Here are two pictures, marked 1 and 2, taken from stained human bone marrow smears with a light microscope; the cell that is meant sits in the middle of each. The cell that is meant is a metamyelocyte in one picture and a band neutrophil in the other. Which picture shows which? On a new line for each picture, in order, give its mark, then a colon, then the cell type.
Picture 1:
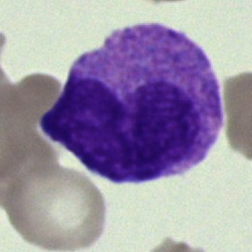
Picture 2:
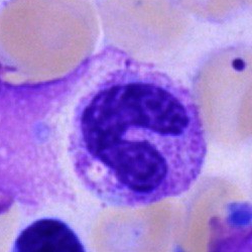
1: metamyelocyte
2: band neutrophil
